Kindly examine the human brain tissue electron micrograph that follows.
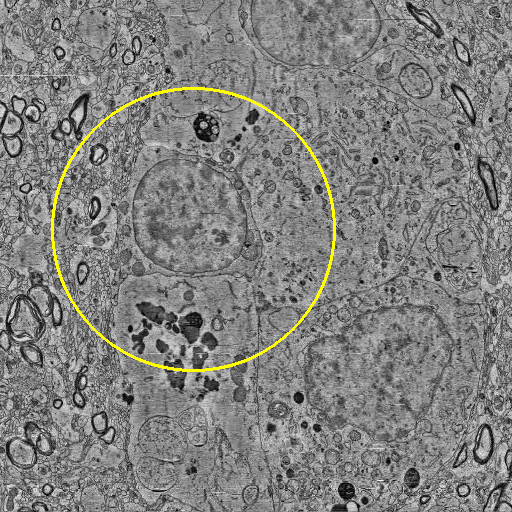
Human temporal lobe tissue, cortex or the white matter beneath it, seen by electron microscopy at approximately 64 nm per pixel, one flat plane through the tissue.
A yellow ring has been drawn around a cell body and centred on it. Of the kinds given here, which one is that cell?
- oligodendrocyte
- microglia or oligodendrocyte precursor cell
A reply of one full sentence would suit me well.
The micrograph's ringed cell, the one at the ring's centre, is an oligodendrocyte.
